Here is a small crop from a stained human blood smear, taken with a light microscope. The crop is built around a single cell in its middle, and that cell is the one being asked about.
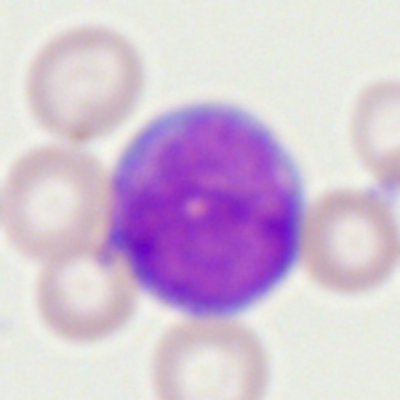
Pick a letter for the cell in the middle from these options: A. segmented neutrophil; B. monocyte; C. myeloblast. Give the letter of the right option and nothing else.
C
